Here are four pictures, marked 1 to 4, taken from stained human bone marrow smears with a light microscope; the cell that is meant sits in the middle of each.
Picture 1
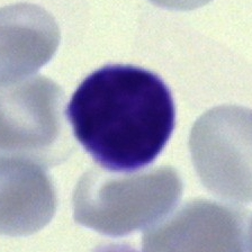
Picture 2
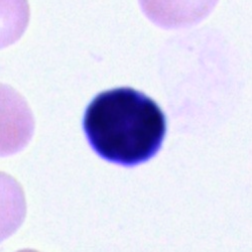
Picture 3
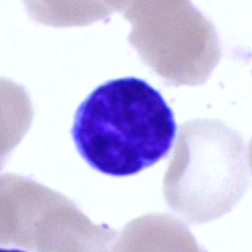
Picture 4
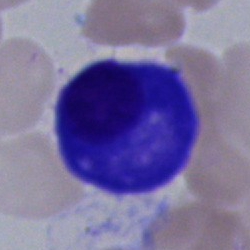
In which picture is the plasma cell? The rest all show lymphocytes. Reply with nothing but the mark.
4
